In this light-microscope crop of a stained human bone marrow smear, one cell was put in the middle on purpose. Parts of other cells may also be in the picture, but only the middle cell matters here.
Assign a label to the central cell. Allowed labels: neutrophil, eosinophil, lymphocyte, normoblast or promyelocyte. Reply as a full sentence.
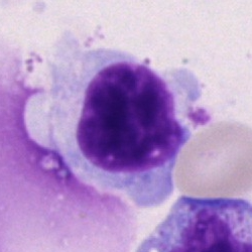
At the crop's centre, the cell is a lymphocyte.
